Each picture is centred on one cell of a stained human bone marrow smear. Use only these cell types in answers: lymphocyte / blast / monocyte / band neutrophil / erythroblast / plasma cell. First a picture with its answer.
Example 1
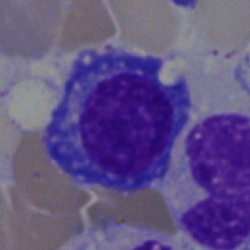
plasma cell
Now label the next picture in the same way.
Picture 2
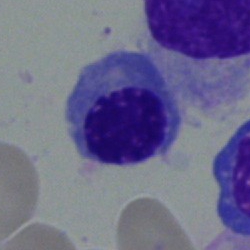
erythroblast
